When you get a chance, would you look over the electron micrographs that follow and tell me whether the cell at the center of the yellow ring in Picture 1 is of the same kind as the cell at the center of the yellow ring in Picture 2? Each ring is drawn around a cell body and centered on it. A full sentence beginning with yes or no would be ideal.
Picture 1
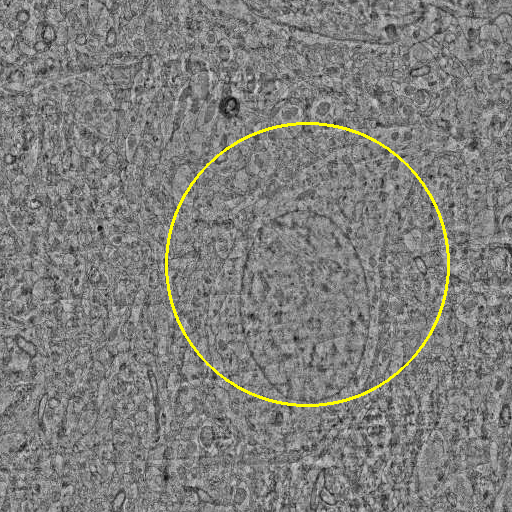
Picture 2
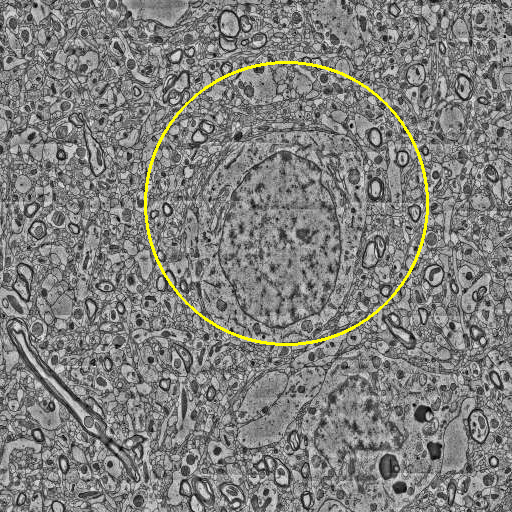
Yes, the two cells are of the same kind.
